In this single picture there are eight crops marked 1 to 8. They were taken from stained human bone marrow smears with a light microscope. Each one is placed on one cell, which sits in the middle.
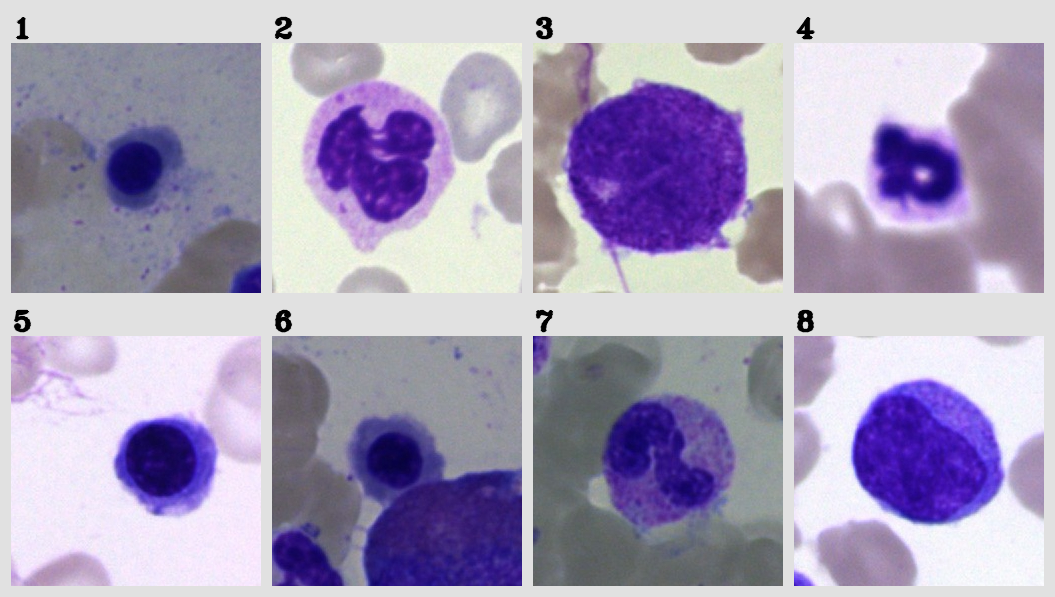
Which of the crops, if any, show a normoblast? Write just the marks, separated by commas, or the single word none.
1, 5, 6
